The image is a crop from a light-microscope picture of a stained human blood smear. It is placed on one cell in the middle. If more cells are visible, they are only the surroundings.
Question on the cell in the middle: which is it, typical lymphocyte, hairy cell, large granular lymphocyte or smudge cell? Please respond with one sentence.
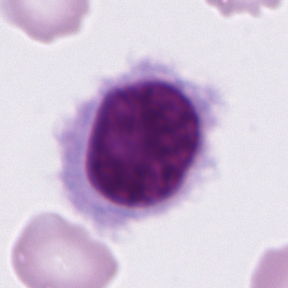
In short, the cell at the center is a hairy cell.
